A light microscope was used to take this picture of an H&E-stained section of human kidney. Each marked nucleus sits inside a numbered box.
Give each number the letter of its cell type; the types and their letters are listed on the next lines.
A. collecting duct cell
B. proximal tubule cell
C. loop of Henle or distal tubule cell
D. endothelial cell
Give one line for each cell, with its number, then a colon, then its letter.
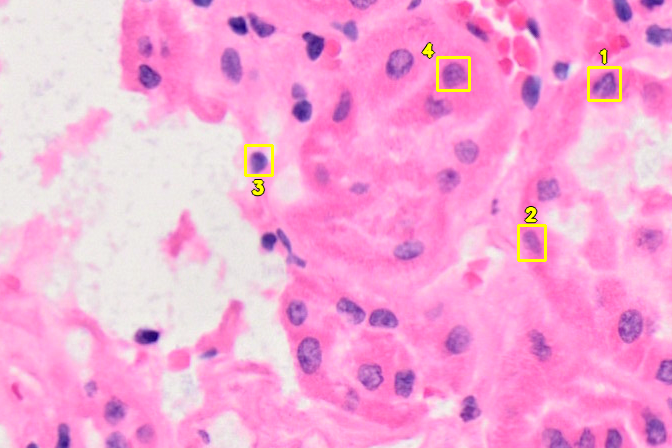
1: B
2: B
3: D
4: B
